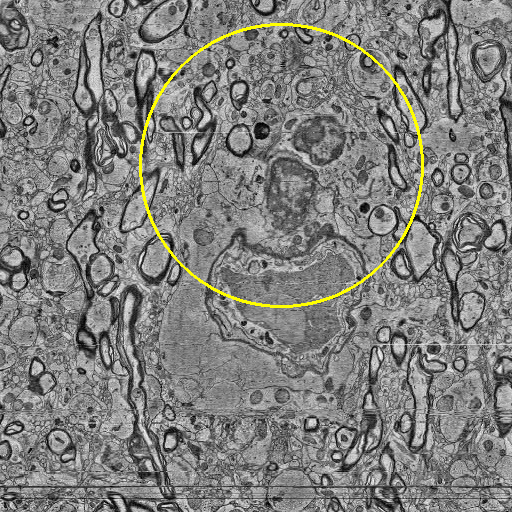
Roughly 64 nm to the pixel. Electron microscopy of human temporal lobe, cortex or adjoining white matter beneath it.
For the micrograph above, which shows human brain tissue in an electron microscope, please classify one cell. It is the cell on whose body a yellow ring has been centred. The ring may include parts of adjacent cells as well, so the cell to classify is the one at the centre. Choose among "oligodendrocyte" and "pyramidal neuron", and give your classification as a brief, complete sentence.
I classify this cell as an oligodendrocyte.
